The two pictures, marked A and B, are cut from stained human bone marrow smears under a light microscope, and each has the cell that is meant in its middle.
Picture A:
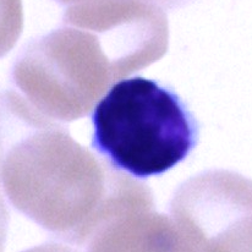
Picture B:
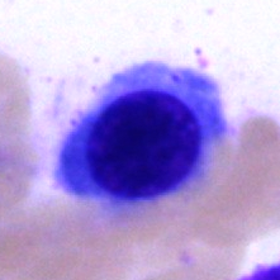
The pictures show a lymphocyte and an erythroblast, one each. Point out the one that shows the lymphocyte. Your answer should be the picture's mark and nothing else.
A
